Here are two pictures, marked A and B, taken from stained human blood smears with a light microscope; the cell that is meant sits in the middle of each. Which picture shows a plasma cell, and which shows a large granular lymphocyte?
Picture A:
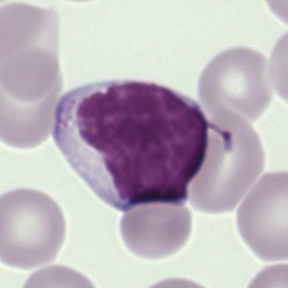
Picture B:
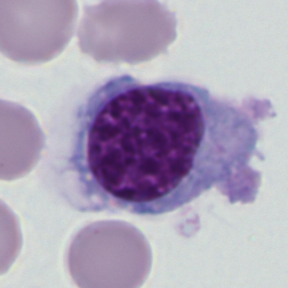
A: large granular lymphocyte
B: plasma cell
